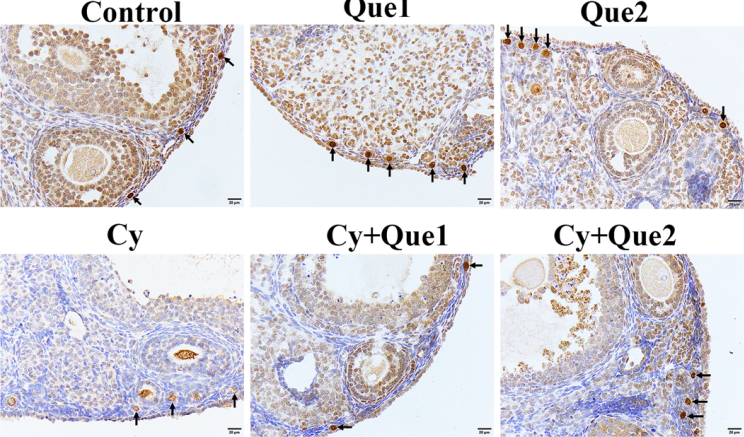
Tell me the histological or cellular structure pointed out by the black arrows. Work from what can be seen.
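Primordial follicles. Arrows point to small round bodies lying just beneath the ovarian surface. The marked bodies are much smaller than the neighbouring multilayered follicles.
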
